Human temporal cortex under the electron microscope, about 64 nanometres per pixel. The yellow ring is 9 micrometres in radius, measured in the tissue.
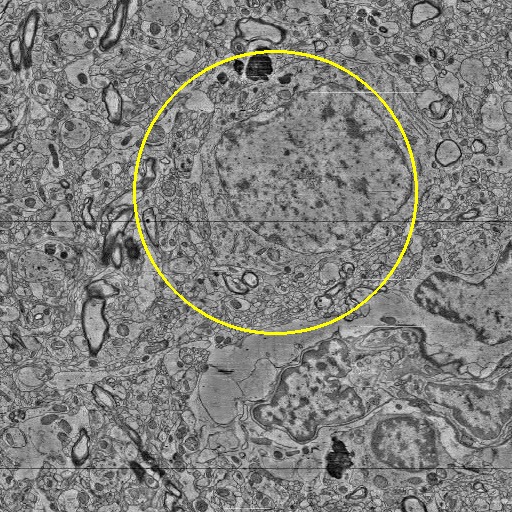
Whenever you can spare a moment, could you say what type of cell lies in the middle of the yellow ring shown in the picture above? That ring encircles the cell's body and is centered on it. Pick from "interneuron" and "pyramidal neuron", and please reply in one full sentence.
The cell whose body sits at the middle of the yellow ring is an interneuron.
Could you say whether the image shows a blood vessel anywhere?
Yes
